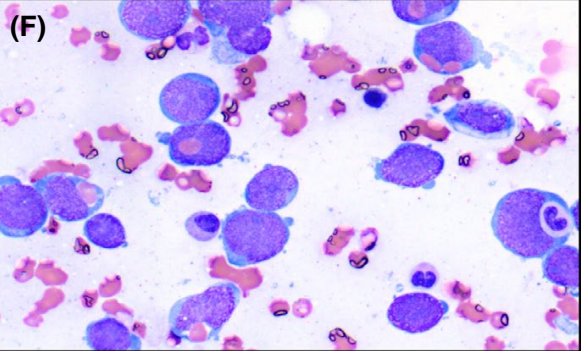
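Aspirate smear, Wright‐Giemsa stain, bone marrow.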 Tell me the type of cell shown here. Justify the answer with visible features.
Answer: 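Blasts. Large round cells with high nuclear-to-cytoplasmic ratio. Nuclei have fine chromatin and the cytoplasm is a rim of deep blue. Cells are many times larger than the red blood cells.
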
